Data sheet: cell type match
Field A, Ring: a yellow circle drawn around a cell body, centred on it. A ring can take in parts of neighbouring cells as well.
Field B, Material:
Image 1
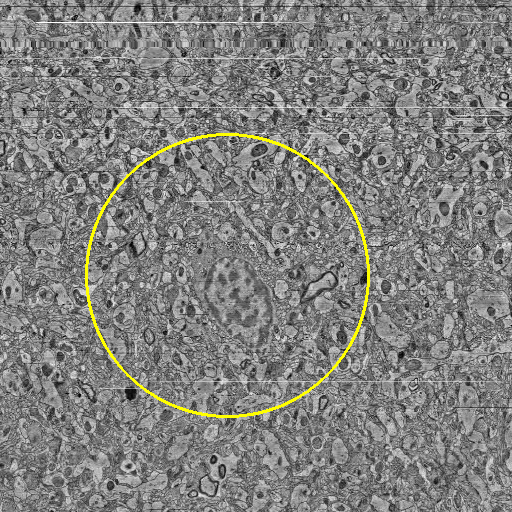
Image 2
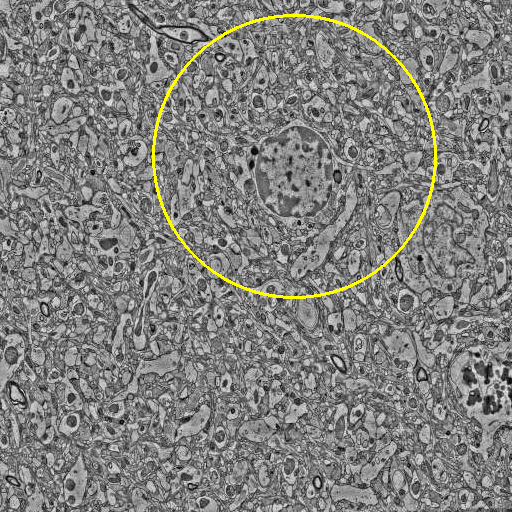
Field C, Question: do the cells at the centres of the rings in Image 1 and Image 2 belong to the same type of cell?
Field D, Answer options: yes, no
no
